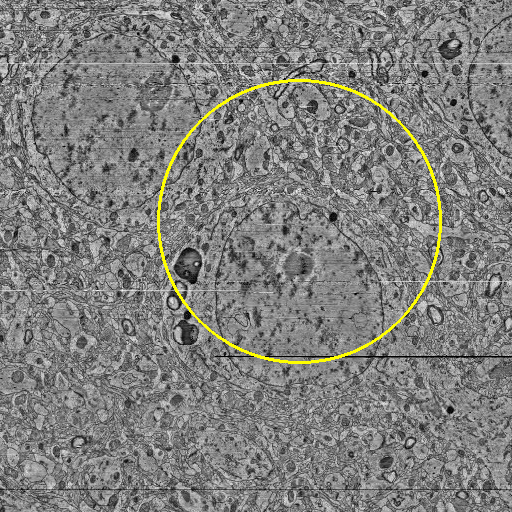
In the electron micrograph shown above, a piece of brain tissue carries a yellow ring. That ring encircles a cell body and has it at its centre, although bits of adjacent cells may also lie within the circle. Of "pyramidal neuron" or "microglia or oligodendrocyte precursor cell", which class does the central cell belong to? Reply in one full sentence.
The cell body at the centre of the yellow ring belongs to a pyramidal neuron.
